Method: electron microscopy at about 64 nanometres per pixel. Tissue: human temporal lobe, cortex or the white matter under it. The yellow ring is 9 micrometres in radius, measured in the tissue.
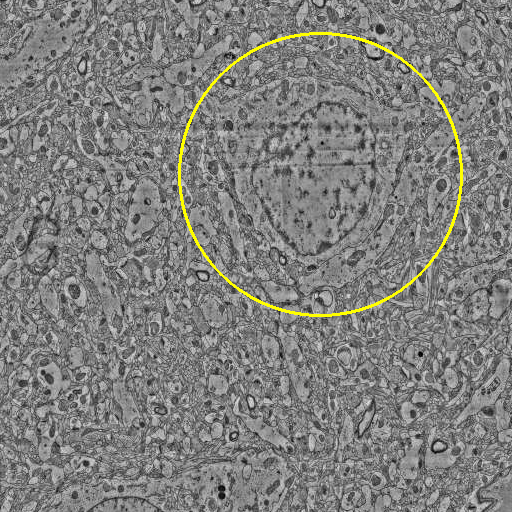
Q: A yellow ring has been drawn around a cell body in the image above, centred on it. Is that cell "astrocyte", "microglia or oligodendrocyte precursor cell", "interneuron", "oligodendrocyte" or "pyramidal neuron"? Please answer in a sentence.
The ring surrounds the cell body of an interneuron.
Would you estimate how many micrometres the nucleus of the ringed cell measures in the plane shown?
In this plane, roughly 10 by 8 micrometres.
